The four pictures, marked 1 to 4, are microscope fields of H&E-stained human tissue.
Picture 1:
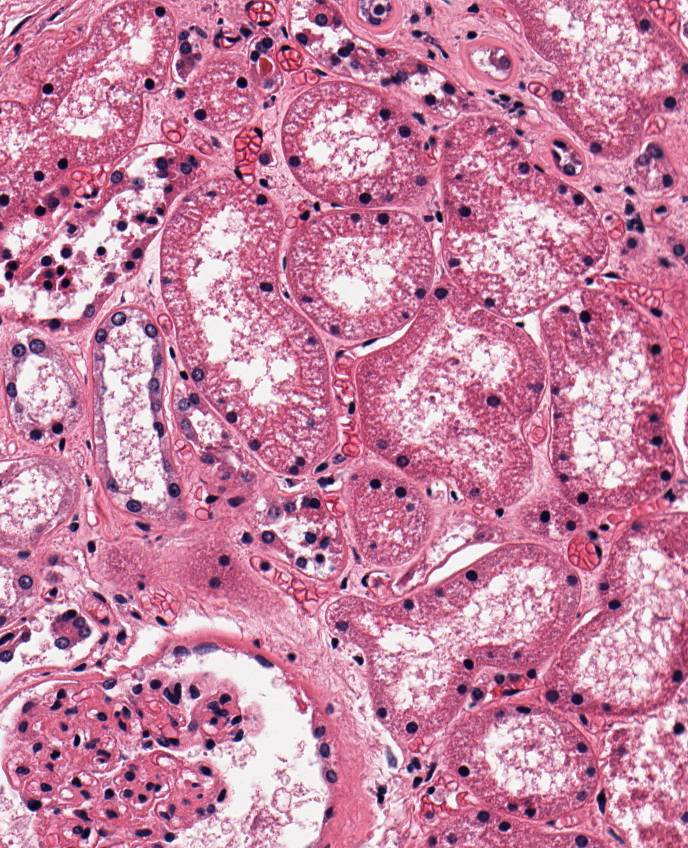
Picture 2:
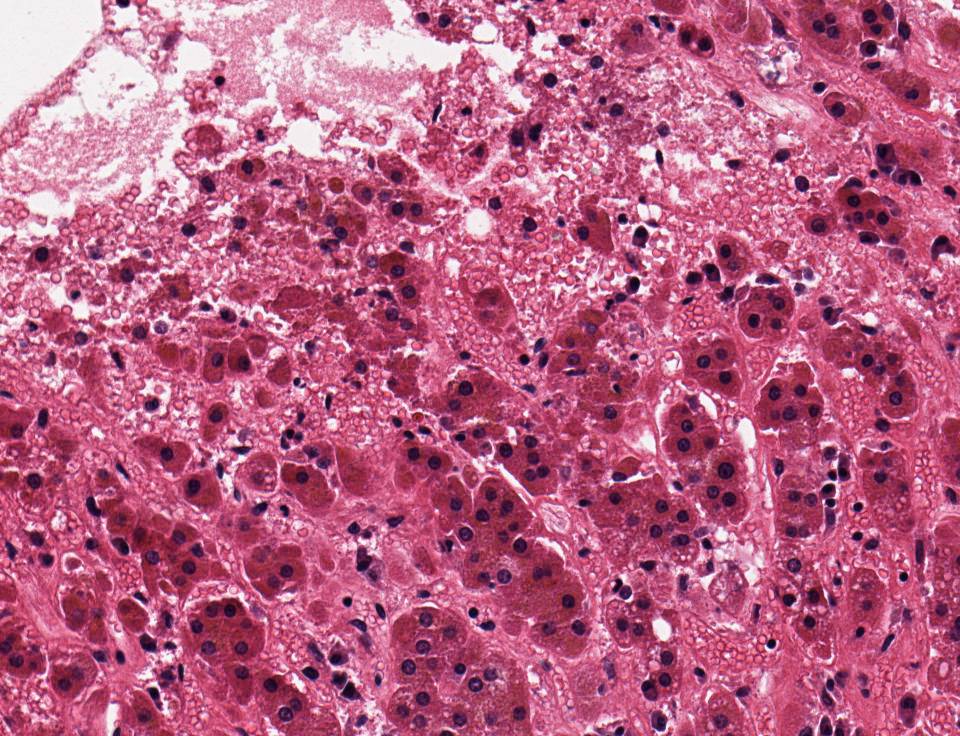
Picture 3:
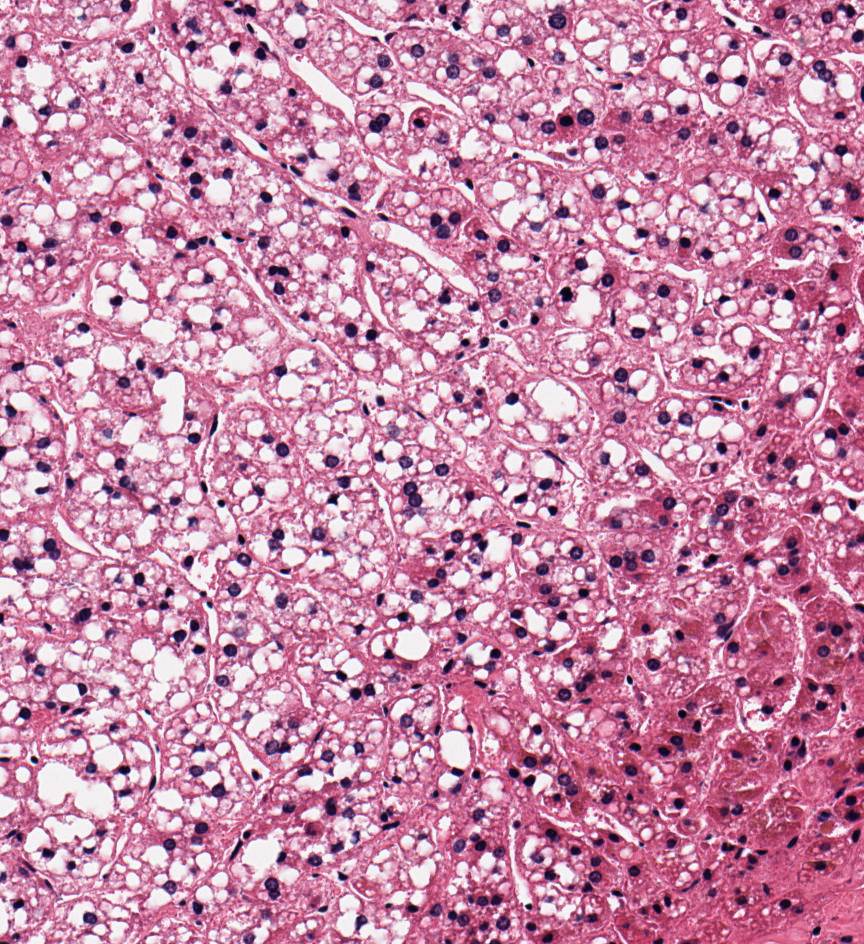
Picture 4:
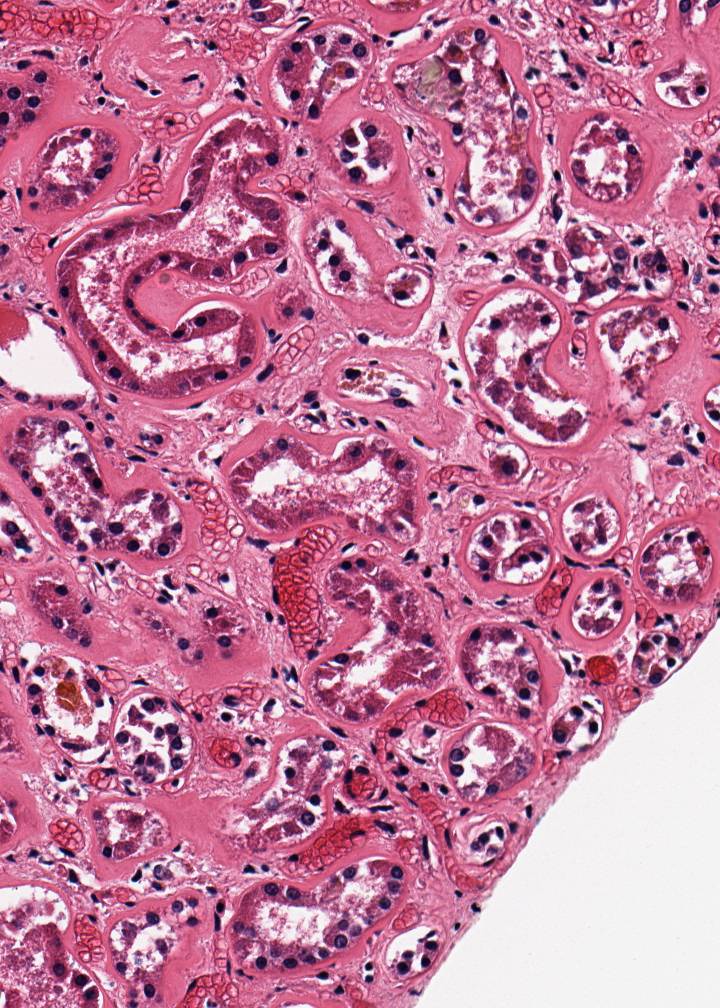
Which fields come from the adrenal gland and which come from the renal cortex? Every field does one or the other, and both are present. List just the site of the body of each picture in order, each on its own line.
renal cortex
adrenal gland
adrenal gland
renal cortex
